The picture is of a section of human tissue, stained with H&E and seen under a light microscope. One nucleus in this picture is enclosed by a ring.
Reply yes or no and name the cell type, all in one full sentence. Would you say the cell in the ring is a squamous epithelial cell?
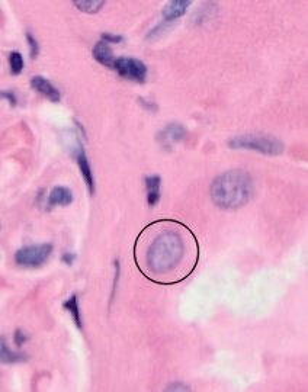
No, write a proximal tubule cell for the cell in the ring rather than a squamous epithelial cell.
